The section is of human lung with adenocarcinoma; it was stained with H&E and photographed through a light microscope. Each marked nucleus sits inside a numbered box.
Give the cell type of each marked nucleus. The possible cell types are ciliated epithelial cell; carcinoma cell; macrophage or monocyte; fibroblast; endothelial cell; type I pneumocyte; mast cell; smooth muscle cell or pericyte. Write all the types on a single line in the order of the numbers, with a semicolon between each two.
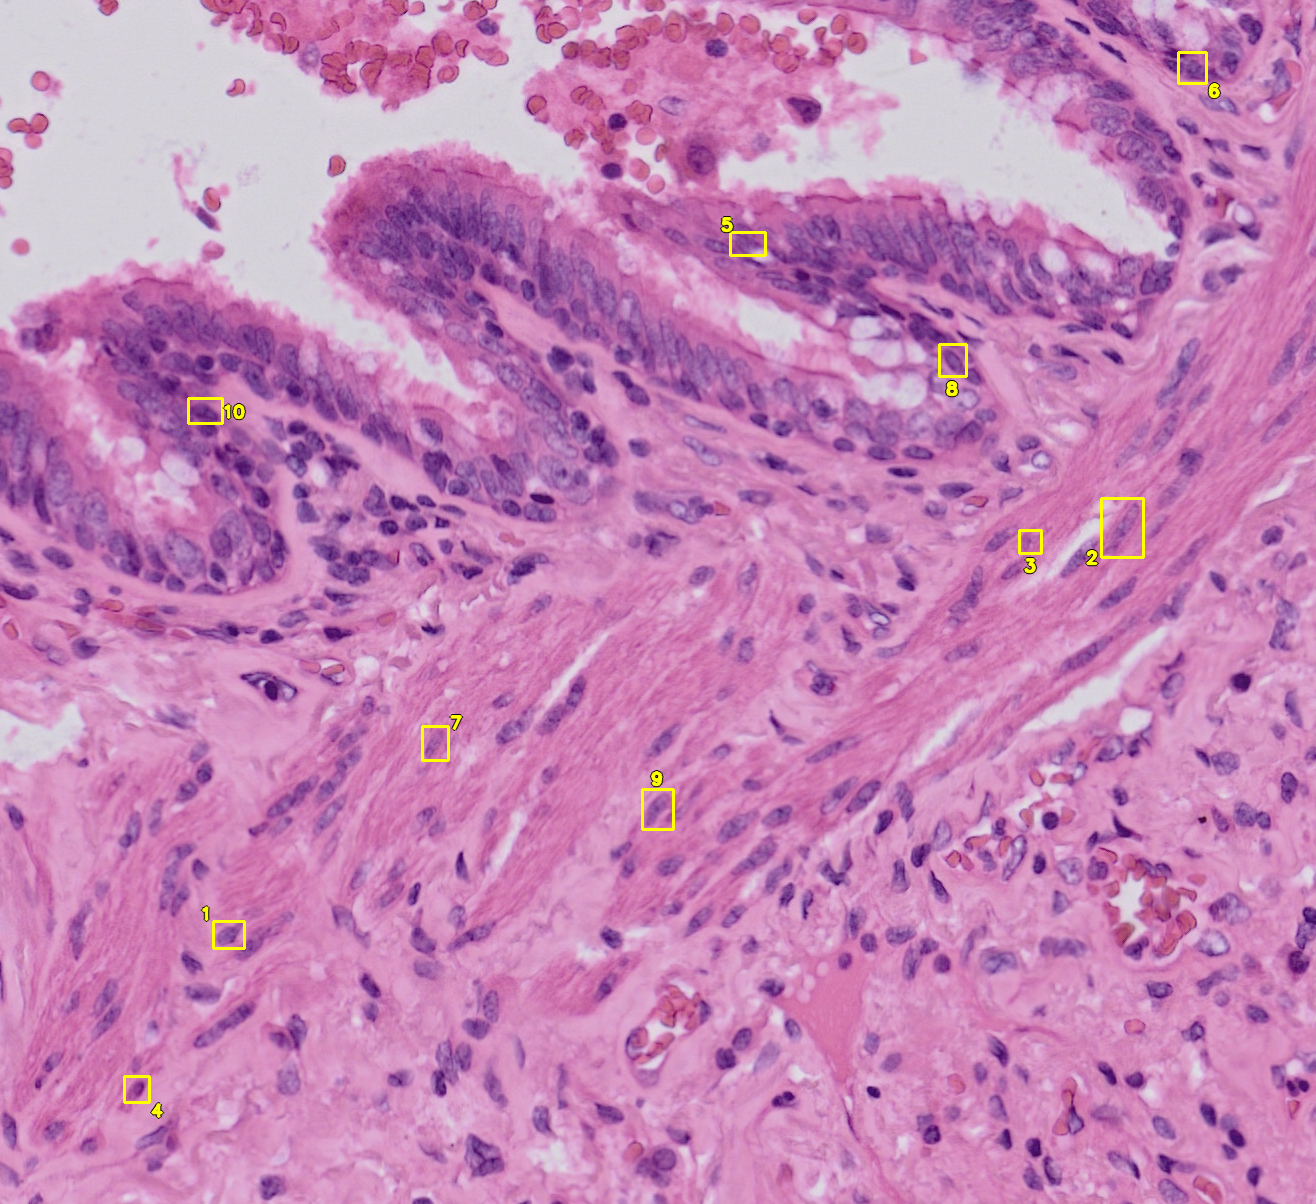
smooth muscle cell or pericyte; smooth muscle cell or pericyte; smooth muscle cell or pericyte; smooth muscle cell or pericyte; ciliated epithelial cell; ciliated epithelial cell; smooth muscle cell or pericyte; ciliated epithelial cell; smooth muscle cell or pericyte; ciliated epithelial cell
